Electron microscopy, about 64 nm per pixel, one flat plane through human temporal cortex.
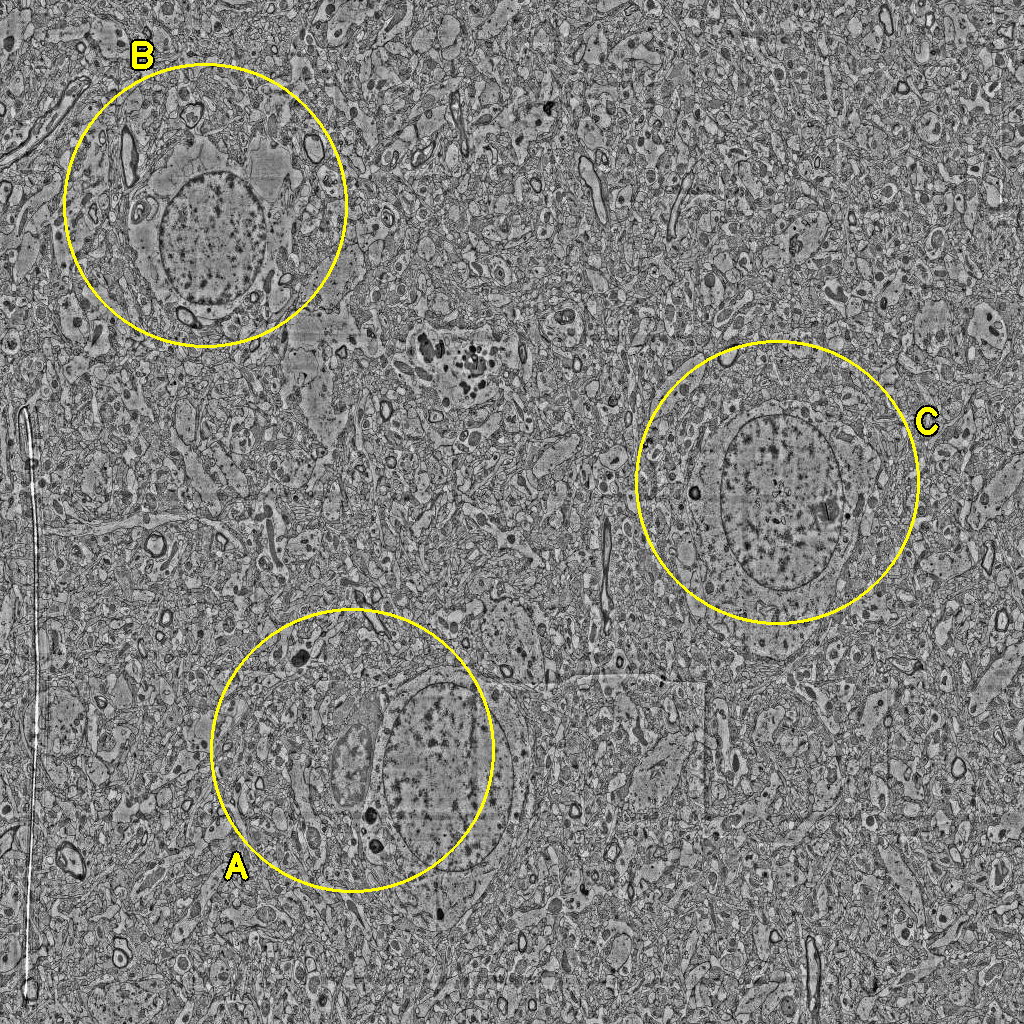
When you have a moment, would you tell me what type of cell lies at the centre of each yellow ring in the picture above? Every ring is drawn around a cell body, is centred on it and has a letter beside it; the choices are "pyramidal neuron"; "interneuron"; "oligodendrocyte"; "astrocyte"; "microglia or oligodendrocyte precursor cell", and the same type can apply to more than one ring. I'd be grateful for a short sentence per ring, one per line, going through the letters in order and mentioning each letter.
The cell at the centre of ring A is an oligodendrocyte.
The cell at the centre of ring B is an astrocyte.
The cell at the centre of ring C is a pyramidal neuron.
